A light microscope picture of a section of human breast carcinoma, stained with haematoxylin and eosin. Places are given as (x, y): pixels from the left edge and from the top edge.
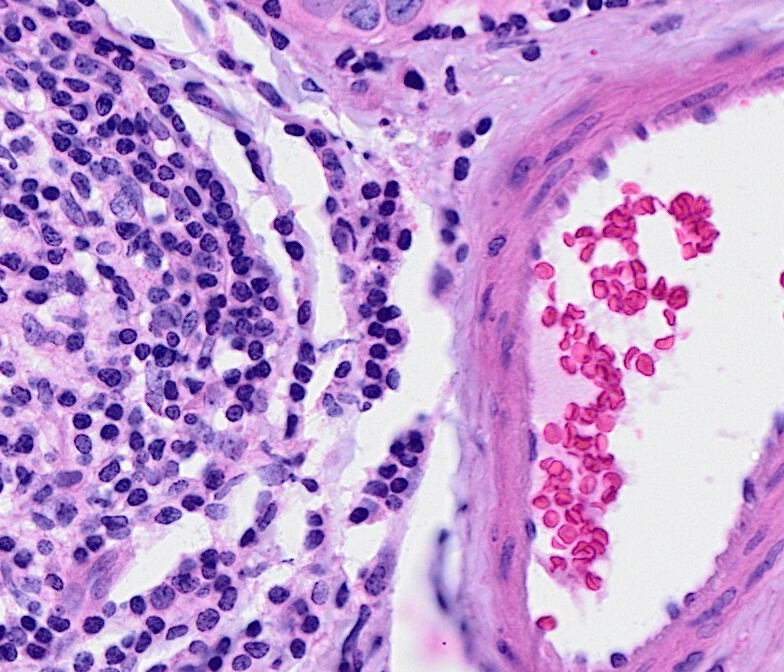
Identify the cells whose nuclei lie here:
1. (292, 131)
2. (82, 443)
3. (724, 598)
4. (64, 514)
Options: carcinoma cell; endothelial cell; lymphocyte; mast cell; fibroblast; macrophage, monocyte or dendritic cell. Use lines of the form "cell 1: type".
cell 1: lymphocyte
cell 2: lymphocyte
cell 3: endothelial cell
cell 4: lymphocyte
